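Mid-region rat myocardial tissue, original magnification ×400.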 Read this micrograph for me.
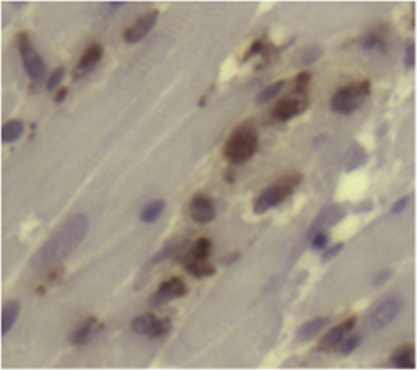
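The cardiac muscle fibres run diagonally across the field, pale grey with faint cross-striations, and carry elongated blue nuclei. Between the fibres lie several irregular, rounded to oval cells whose cytoplasm is brown, often around a dark blue nucleus. They sit singly or in small groups in the spaces between the fibres rather than inside them.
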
